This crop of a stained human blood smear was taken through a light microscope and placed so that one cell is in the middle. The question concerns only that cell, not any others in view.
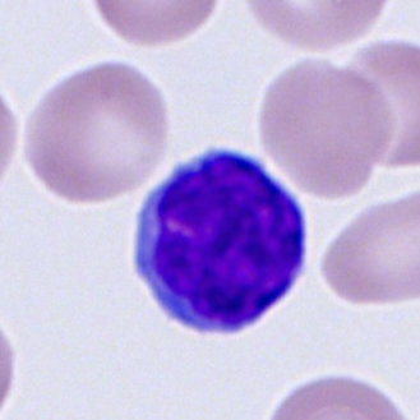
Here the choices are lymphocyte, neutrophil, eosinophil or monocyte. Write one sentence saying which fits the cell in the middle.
The cell in the middle of the field of view is a lymphocyte.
